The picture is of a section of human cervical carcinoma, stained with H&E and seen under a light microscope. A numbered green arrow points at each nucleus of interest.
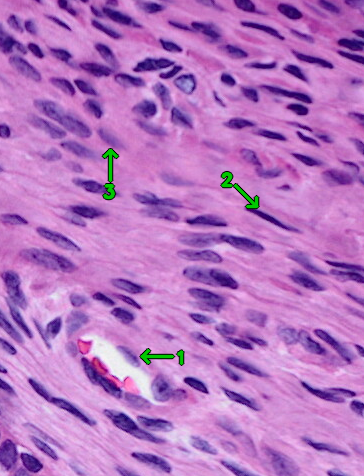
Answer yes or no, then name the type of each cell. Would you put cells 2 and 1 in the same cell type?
No, cell 2 is a fibroblast and cell 1 is an endothelial cell.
